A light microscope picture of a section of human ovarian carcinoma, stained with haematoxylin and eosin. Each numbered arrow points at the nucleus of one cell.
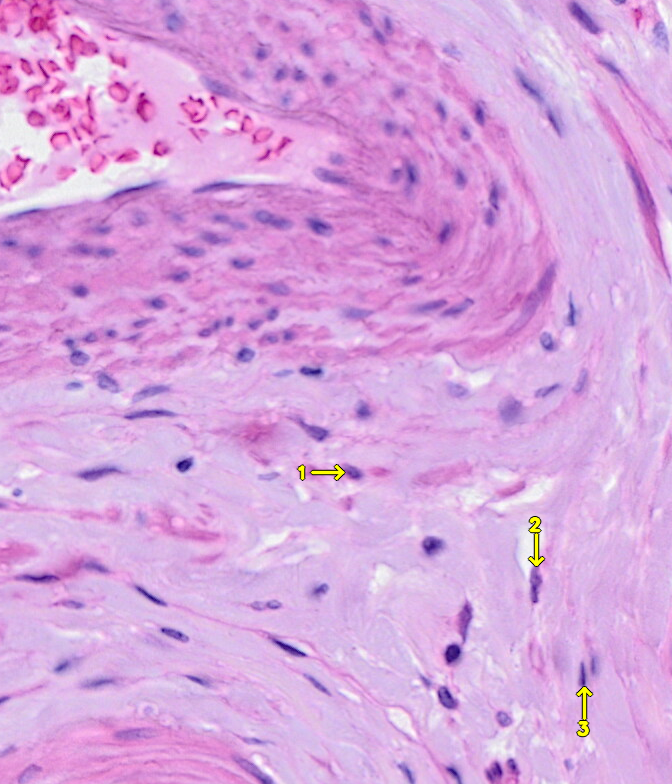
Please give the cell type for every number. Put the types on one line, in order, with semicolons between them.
smooth muscle cell; fibroblast; fibroblast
